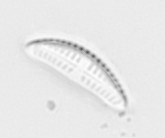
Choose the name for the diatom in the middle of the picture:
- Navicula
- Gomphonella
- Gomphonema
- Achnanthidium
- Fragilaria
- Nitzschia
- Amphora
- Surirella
Amphora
